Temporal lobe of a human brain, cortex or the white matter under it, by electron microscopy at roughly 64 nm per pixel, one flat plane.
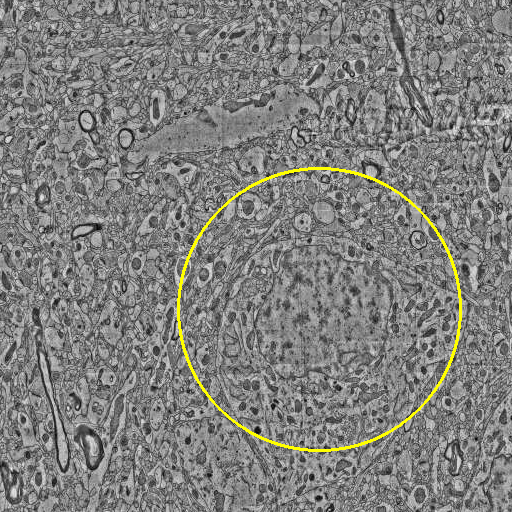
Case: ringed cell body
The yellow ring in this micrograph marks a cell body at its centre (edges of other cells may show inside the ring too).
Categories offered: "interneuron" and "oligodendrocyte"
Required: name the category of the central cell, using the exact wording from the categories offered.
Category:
interneuron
